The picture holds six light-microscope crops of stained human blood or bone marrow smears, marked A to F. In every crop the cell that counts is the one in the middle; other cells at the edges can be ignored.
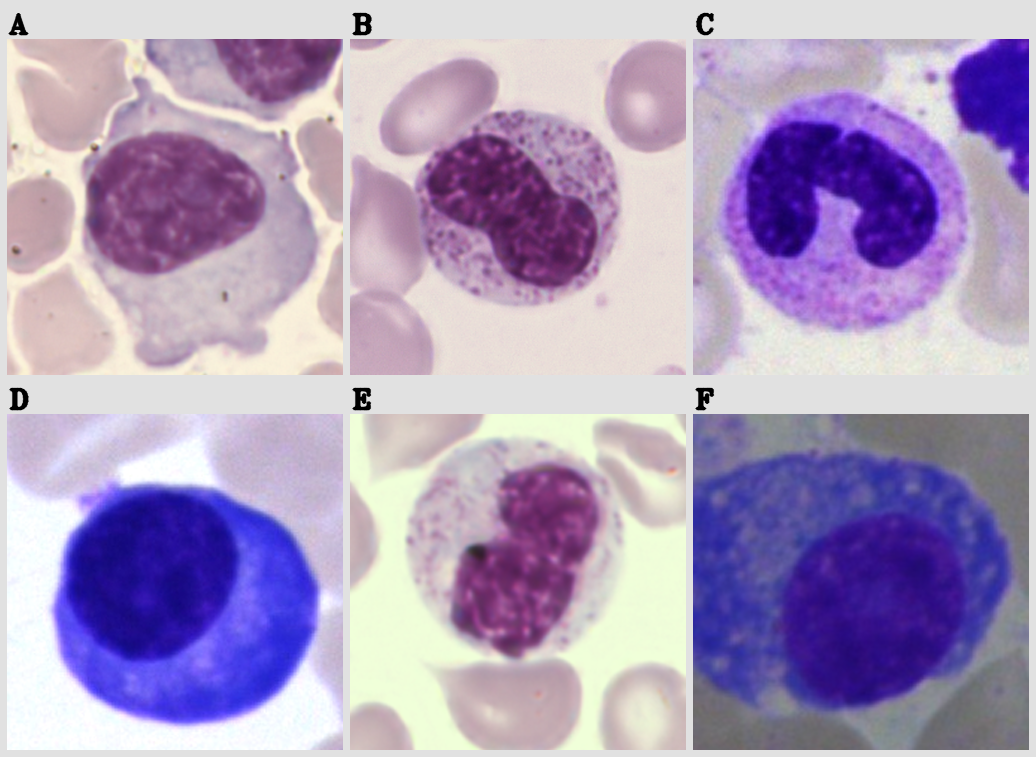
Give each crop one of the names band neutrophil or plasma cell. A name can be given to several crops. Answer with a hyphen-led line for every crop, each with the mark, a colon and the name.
- A: plasma cell
- B: band neutrophil
- C: band neutrophil
- D: plasma cell
- E: band neutrophil
- F: plasma cell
